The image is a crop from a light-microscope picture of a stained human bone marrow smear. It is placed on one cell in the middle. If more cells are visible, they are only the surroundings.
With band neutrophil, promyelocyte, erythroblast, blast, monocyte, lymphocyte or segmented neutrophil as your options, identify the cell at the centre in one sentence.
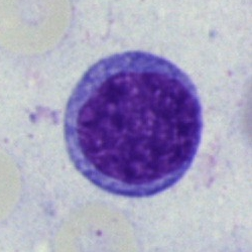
Answering briefly, the cell in the middle is a blast.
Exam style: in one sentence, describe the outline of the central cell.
Its surface contour is regular and smooth, without any protrusions.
